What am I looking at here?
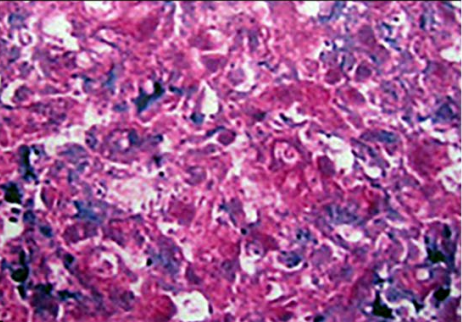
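This is a densely cellular piece of tissue in which many cells with abundant pink cytoplasm lie packed together. Their nuclei are purple, round to irregular, and some are large. Scattered among them are small, very dark, irregular nuclei. Little of an ordinary fine background remains between the cells, so the tissue looks heavily infiltrated by cells.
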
